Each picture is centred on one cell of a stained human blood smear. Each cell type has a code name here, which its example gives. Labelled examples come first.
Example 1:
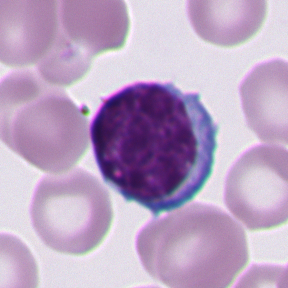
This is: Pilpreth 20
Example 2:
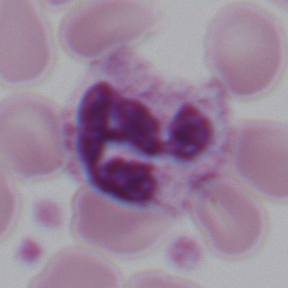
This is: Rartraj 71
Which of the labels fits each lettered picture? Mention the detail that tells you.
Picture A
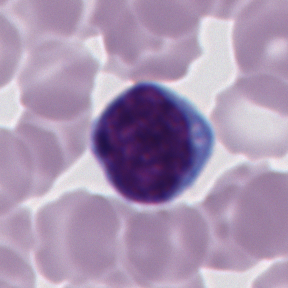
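Pilpreth 20. Reason: The nucleus fills most of the cell.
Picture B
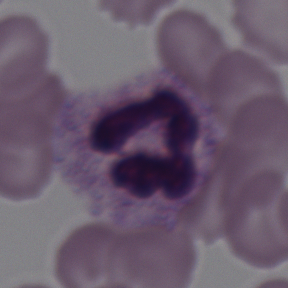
Rartraj 71. Reason: The nucleus is a thick band folded into a C shape that opens to the left.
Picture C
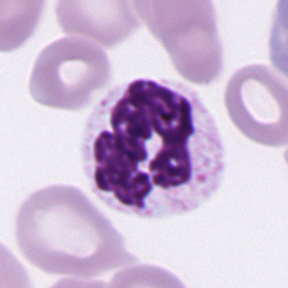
Rartraj 71. Reason: The cytoplasm is pale pinkish and forms a rim around the nucleus.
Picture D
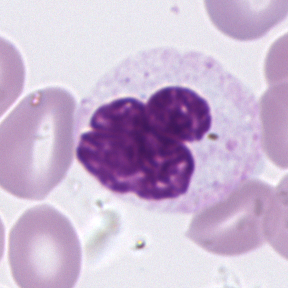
Rartraj 71. Reason: The cytoplasm is abundant and pale lilac-grey.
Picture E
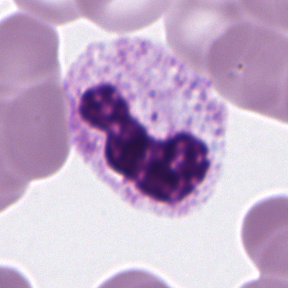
Rartraj 71. Reason: The cytoplasm is plentiful and pale lilac.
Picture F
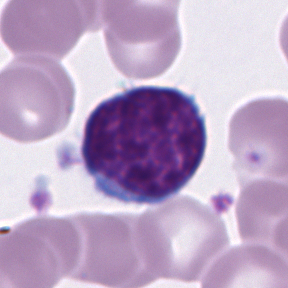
Pilpreth 20. Reason: The cytoplasm forms a thin rim that is widest at the lower left of the cell.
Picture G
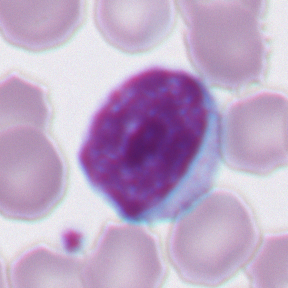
Pilpreth 20. Reason: The cytoplasm forms only a narrow rim beside the nucleus.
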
